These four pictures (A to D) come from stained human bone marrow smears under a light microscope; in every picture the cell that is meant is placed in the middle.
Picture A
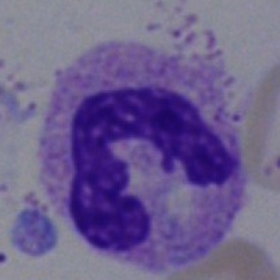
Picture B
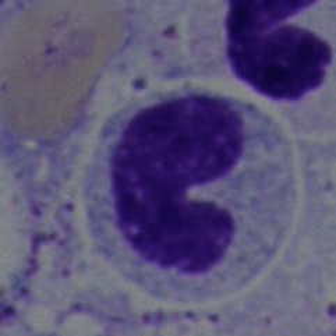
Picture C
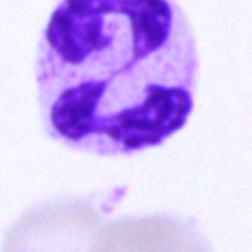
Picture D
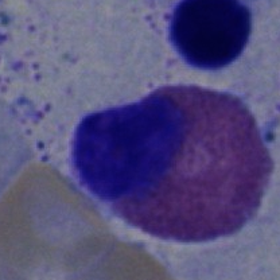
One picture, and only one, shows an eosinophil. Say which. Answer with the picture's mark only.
D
